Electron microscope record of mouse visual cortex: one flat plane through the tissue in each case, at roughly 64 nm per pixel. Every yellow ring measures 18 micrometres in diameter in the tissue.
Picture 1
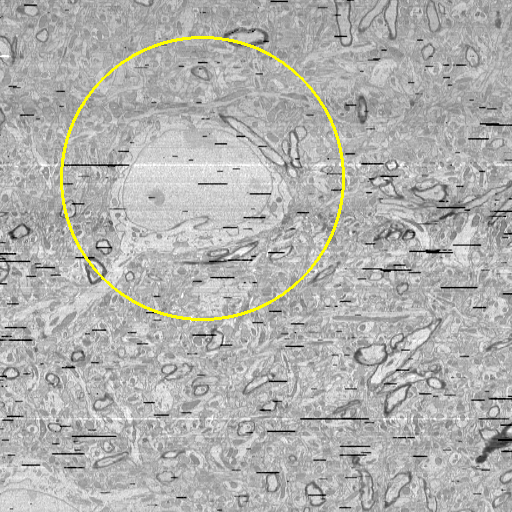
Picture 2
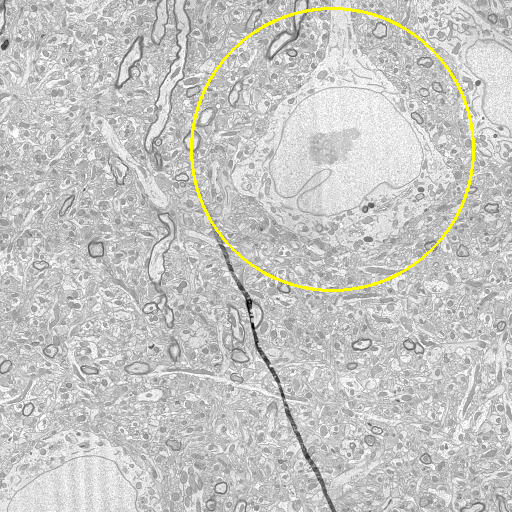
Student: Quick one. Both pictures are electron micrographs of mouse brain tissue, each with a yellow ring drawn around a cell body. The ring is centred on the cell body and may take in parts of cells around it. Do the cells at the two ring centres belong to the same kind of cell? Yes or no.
yes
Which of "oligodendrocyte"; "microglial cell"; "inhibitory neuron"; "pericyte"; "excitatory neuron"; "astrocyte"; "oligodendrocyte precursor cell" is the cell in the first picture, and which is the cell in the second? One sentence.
Each of the two rings is centred on an excitatory neuron.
